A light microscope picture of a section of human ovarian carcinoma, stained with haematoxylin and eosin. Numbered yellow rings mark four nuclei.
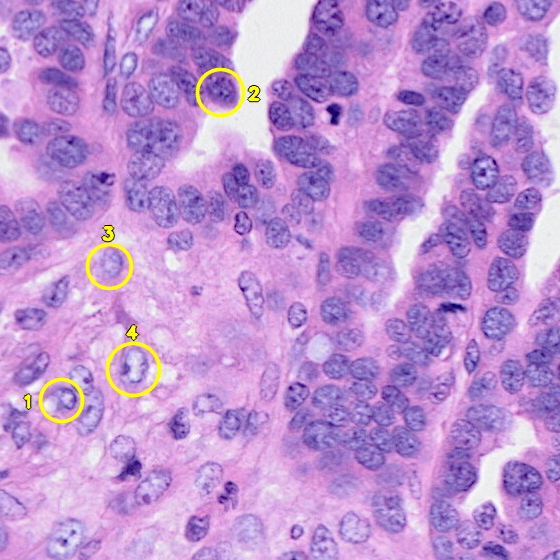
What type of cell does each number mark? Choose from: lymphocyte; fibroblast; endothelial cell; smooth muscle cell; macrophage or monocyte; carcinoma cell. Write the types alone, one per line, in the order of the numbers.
fibroblast
carcinoma cell
fibroblast
fibroblast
